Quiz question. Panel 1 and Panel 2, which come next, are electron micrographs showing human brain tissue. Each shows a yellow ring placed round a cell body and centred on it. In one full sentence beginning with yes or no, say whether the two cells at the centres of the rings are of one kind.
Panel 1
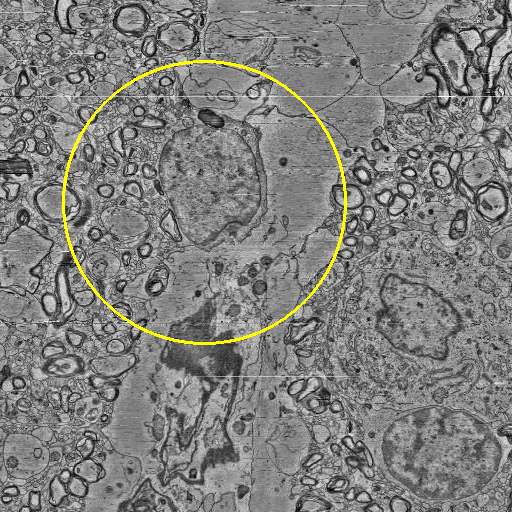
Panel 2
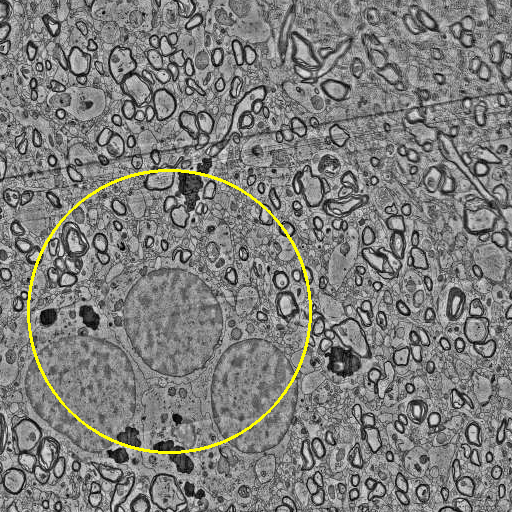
Yes, Panel 1 and Panel 2 show one kind of cell at the centre of the ring.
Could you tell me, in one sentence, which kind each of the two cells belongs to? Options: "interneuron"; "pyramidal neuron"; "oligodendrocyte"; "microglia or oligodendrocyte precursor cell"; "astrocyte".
The first and the second cell are each an oligodendrocyte.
